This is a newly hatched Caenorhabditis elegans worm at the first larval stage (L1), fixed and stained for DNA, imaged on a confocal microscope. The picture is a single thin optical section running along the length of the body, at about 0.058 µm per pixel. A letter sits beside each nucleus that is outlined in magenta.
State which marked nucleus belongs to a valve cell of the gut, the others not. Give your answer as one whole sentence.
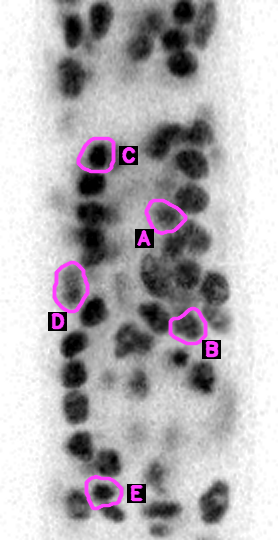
Nucleus E belongs to a valve cell of the gut.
